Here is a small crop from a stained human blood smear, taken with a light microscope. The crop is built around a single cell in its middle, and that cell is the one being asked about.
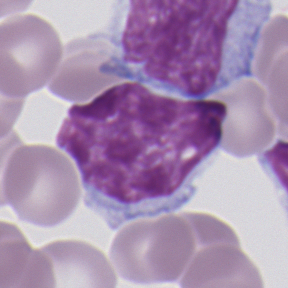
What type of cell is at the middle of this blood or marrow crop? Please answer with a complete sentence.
At the center of the crop sits a typical lymphocyte.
